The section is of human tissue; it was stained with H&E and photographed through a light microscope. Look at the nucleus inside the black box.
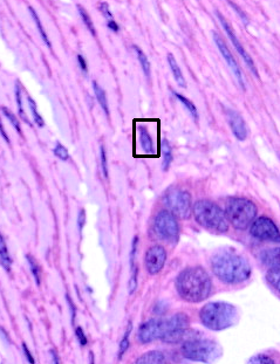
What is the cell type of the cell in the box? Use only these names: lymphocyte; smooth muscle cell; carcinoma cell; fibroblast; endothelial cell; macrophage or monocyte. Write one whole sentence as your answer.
It is as a fibroblast that the cell in the box is classified.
